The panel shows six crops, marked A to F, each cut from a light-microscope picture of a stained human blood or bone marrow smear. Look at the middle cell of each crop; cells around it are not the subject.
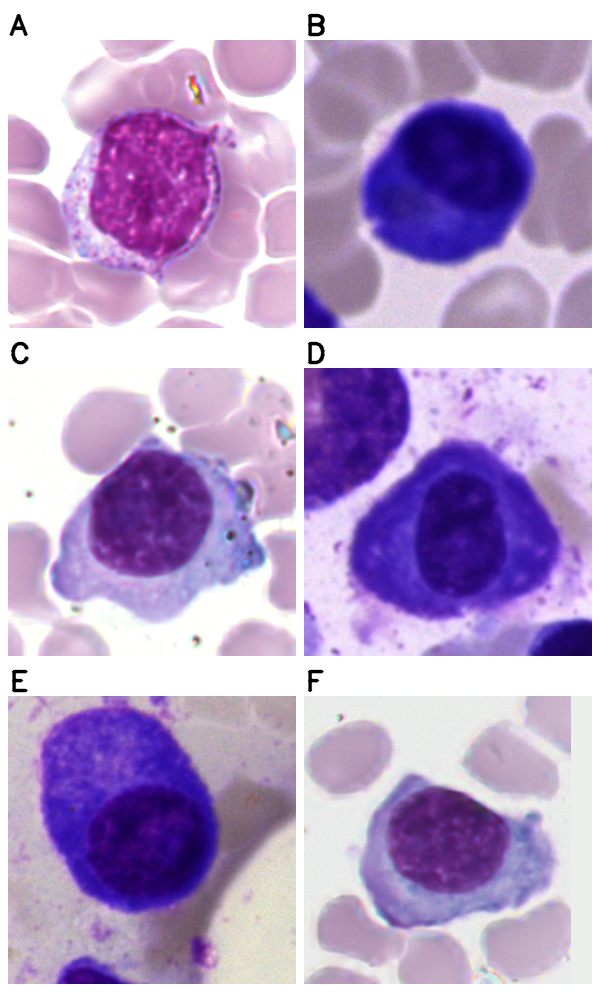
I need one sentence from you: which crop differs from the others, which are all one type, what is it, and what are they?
Here the outlier is crop A, which is a myelocyte, and the rest are plasma cells.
